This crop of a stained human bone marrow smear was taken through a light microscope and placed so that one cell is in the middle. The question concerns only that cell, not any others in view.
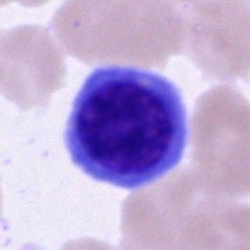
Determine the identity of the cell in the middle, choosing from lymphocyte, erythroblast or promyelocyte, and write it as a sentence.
Classification of the middle cell gives an erythroblast.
